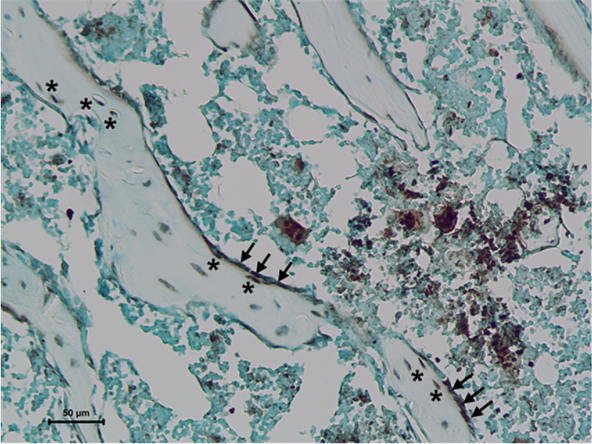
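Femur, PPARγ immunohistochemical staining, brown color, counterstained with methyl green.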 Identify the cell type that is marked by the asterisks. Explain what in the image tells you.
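The asterisks lie beside small cells enclosed within the pale bone matrix. Each of these cells sits alone in a small space inside the trabecula. On this evidence: osteocytes.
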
